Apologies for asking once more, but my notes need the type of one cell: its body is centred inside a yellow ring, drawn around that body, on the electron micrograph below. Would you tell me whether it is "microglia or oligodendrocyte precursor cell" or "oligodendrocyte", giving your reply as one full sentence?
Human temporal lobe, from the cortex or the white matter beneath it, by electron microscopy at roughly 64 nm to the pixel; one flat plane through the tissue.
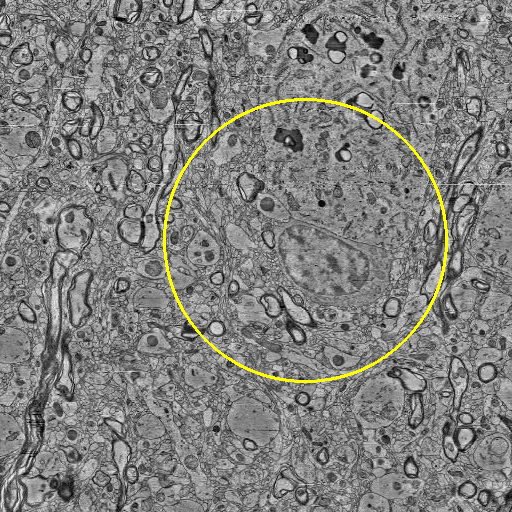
The cell that the yellow ring is centred on is an oligodendrocyte in this micrograph.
